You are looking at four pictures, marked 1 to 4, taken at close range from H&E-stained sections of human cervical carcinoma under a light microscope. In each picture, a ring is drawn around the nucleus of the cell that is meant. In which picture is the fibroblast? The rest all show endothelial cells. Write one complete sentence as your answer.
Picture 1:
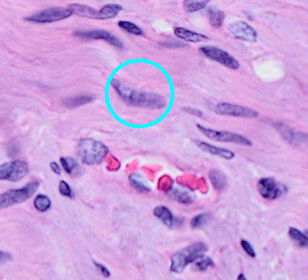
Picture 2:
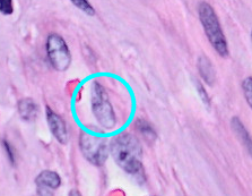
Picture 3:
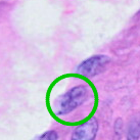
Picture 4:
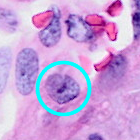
The picture with the fibroblast is 1.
